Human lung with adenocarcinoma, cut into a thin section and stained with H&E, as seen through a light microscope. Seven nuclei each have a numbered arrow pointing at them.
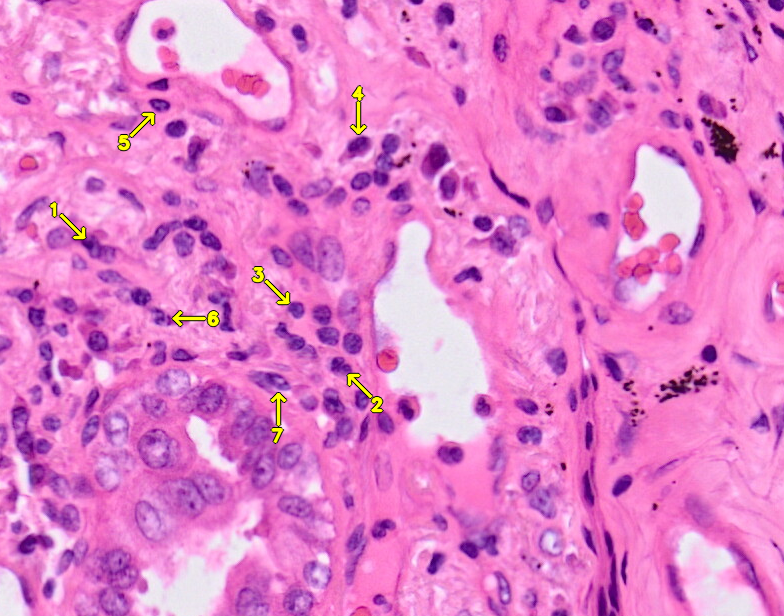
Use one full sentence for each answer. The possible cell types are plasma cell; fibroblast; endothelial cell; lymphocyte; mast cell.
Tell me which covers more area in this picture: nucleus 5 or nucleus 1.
Nucleus 1 covers more area, about 1.5 times as much as nucleus 5.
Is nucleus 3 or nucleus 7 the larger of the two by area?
Nucleus 7 covers more area, about 1.5 times as much as nucleus 3.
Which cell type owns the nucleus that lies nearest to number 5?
The cell nearest to number 5 is an endothelial cell.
